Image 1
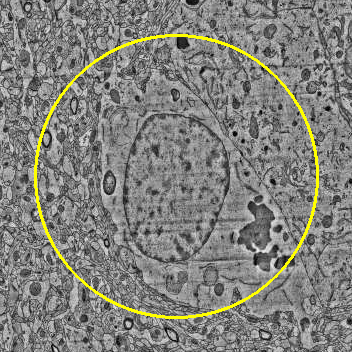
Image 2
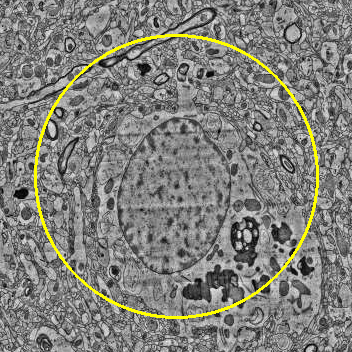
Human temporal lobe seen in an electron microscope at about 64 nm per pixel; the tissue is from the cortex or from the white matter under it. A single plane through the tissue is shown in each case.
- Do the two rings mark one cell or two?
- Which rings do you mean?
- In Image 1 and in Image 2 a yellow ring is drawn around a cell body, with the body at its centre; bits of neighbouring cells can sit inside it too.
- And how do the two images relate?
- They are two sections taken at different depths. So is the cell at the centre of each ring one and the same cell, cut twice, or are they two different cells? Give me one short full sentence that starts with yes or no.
No, the two rings mark two different cells.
